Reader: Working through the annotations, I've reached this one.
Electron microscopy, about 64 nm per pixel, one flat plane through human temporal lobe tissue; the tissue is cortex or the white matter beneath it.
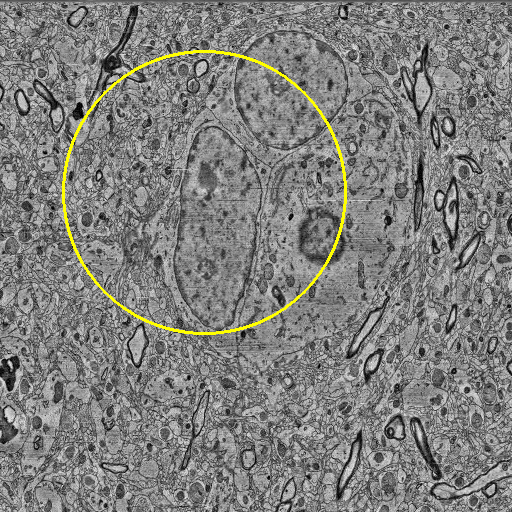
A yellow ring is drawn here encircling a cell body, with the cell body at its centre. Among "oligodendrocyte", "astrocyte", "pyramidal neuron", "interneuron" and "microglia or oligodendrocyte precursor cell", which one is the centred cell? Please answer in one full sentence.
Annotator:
The cell body at the centre of the yellow ring in this image belongs to a microglial cell or oligodendrocyte precursor cell.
